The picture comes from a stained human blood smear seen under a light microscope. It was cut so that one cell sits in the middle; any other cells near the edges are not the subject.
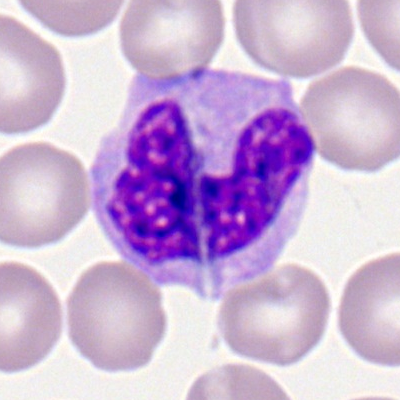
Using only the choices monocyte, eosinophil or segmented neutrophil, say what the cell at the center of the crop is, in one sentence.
Standing at the centre of this crop is a monocyte.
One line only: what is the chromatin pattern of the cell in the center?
Its nuclear chromatin is gathered into coarse clumps.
